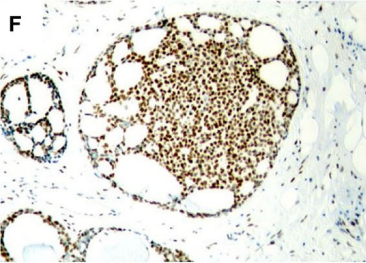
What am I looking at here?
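A large rounded tumour nest and smaller neighbouring nests of a carcinoma are shown, with round clear spaces within them. The densely packed tumour cells have nuclei that stain strongly brown.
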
